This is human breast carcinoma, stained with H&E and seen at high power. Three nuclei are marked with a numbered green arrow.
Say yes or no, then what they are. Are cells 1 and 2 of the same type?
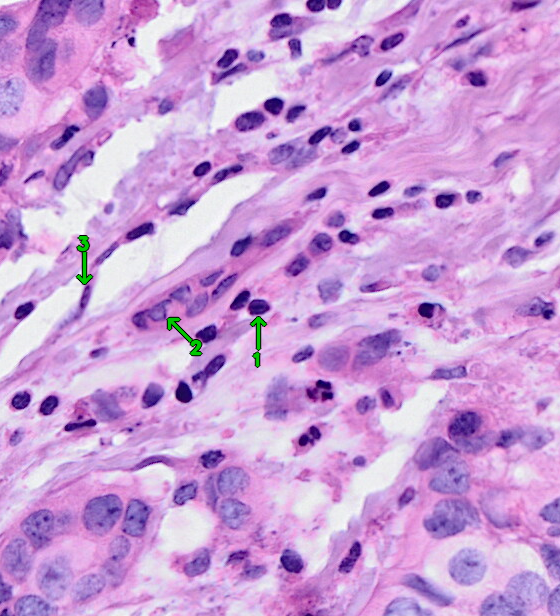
No, just to clarify, cell 1 is a lymphocyte and cell 2 is an endothelial cell.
